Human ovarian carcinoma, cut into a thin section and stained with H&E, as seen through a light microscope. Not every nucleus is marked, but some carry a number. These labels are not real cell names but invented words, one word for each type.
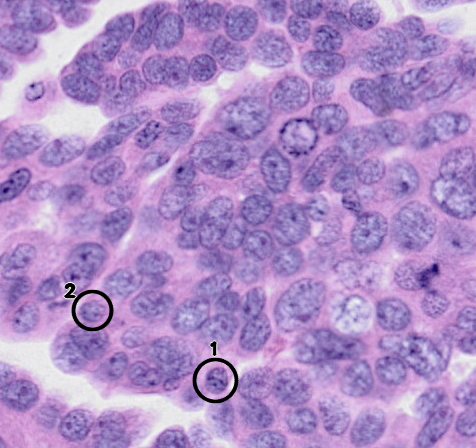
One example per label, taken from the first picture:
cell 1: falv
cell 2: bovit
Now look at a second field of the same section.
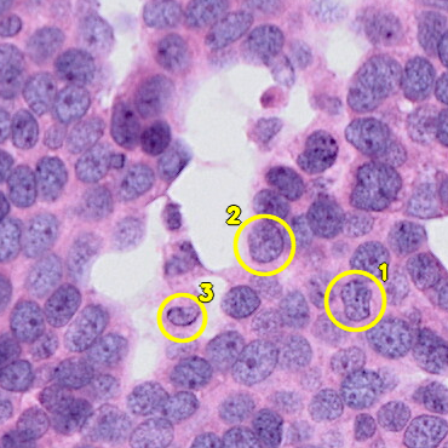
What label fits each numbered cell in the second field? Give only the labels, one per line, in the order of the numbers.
bovit
bovit
falv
